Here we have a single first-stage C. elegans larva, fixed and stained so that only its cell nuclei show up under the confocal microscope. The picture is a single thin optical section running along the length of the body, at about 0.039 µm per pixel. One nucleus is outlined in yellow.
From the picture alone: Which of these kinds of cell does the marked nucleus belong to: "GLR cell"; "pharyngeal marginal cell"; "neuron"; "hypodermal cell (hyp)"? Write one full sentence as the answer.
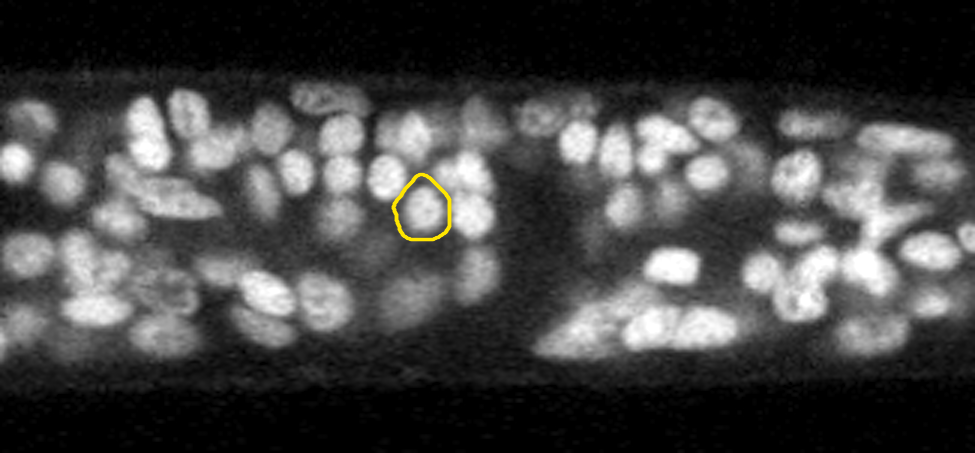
The cell with the marked nucleus is a neuron.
